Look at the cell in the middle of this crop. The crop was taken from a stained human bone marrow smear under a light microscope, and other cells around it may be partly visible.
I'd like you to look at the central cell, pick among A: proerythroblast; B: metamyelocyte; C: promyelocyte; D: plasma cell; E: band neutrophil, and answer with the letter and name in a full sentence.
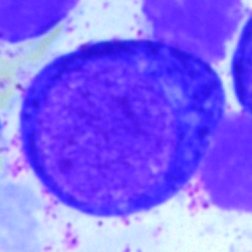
Since the cell in the middle is a proerythroblast, option A is correct.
